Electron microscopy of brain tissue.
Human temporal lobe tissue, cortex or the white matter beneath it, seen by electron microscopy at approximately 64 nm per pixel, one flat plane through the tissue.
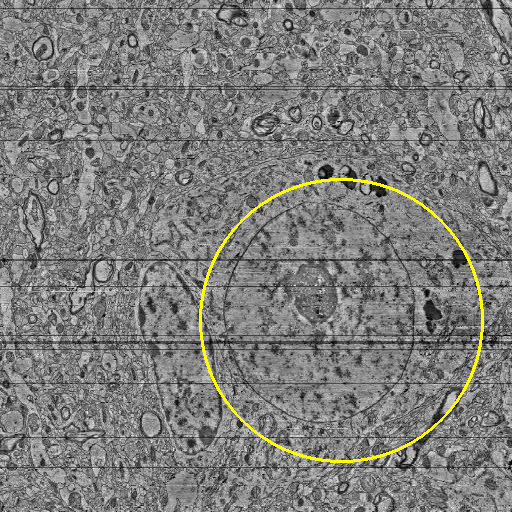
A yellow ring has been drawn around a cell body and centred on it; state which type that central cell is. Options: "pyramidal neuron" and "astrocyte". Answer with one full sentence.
The cell at the middle of the yellow ring is a pyramidal neuron in this picture.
